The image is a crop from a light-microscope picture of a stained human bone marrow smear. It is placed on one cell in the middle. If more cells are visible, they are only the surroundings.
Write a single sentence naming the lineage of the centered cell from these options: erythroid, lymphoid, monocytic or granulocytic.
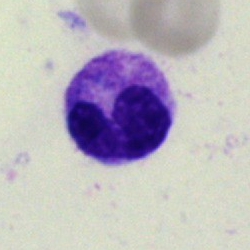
The central cell is regarded as belonging to the granulocytic lineage.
